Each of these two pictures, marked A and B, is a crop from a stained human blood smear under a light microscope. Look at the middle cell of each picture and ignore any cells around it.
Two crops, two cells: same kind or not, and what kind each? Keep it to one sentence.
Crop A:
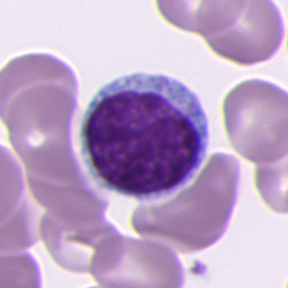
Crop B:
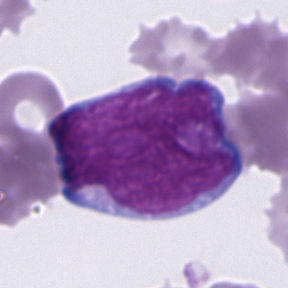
No, a typical lymphocyte lies at the centre of crop A, and a myeloblast lies at the centre of crop B.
